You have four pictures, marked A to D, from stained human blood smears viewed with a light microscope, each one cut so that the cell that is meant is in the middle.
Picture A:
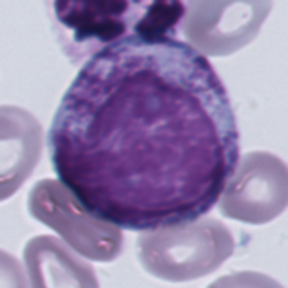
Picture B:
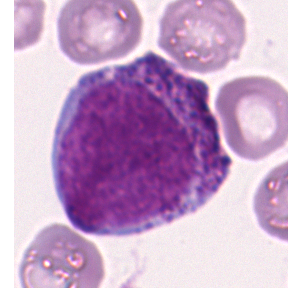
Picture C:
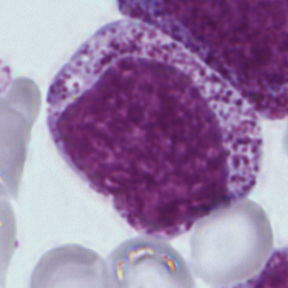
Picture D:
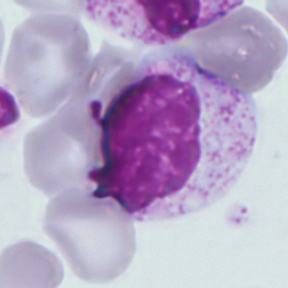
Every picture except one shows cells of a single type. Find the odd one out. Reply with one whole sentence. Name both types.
All pictures except D show promyelocytes; picture D shows a myelocyte.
